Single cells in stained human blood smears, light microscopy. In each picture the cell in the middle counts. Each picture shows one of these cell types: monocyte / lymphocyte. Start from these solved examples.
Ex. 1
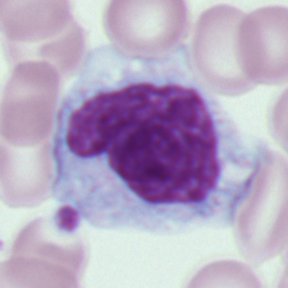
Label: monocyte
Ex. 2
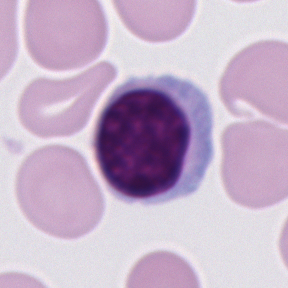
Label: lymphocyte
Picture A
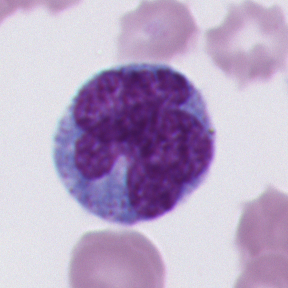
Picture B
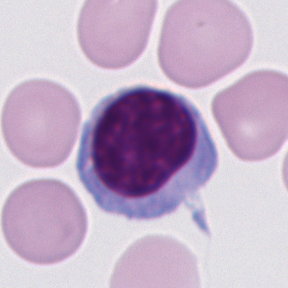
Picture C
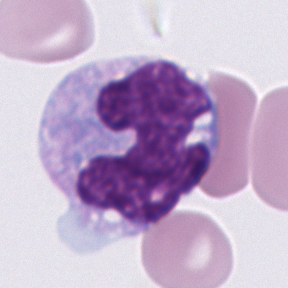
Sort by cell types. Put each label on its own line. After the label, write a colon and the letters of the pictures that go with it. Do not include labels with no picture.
monocyte: A, C
lymphocyte: B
